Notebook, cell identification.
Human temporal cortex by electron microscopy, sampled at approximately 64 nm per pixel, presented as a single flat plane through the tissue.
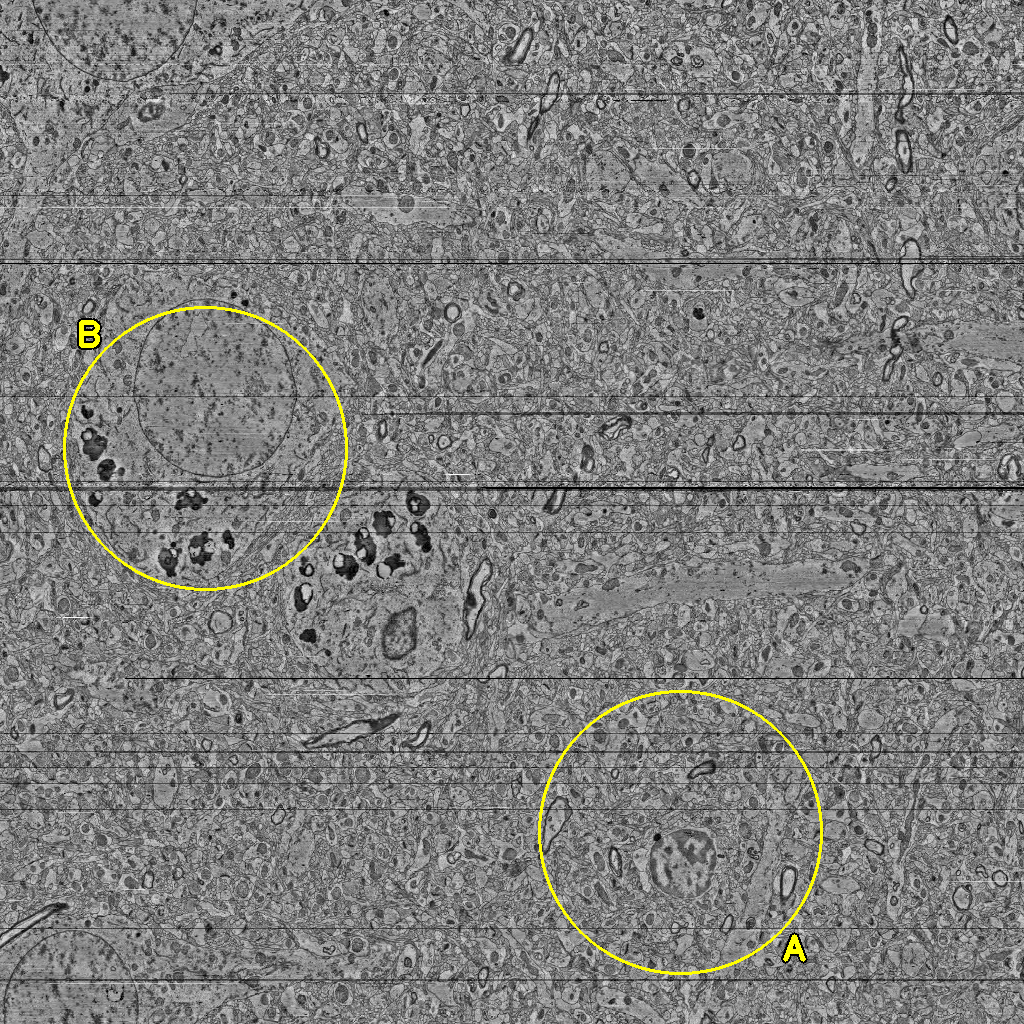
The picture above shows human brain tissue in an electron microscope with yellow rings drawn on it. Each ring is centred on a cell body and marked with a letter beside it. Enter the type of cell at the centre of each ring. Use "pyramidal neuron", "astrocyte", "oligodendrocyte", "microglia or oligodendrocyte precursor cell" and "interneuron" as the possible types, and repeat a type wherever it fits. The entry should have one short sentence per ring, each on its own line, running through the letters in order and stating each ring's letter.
The cell body in ring A belongs to a microglial cell or oligodendrocyte precursor cell.
The cell body in ring B belongs to a pyramidal neuron.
